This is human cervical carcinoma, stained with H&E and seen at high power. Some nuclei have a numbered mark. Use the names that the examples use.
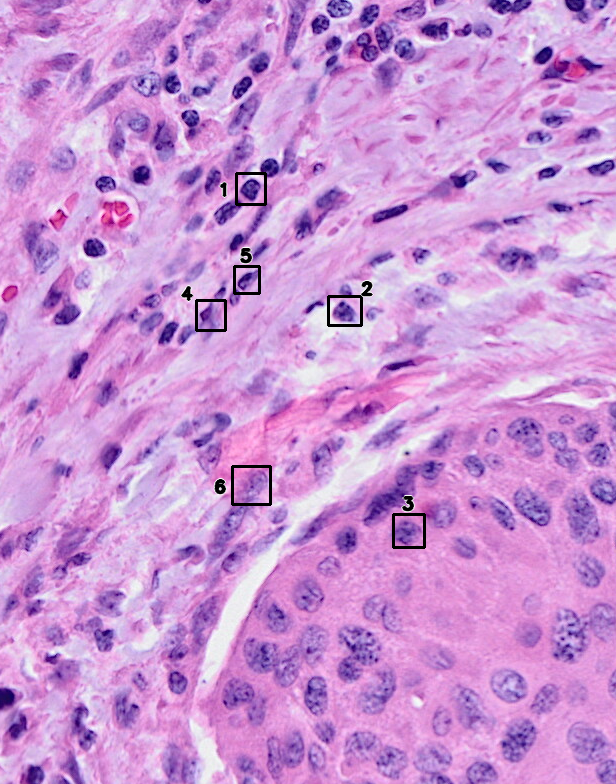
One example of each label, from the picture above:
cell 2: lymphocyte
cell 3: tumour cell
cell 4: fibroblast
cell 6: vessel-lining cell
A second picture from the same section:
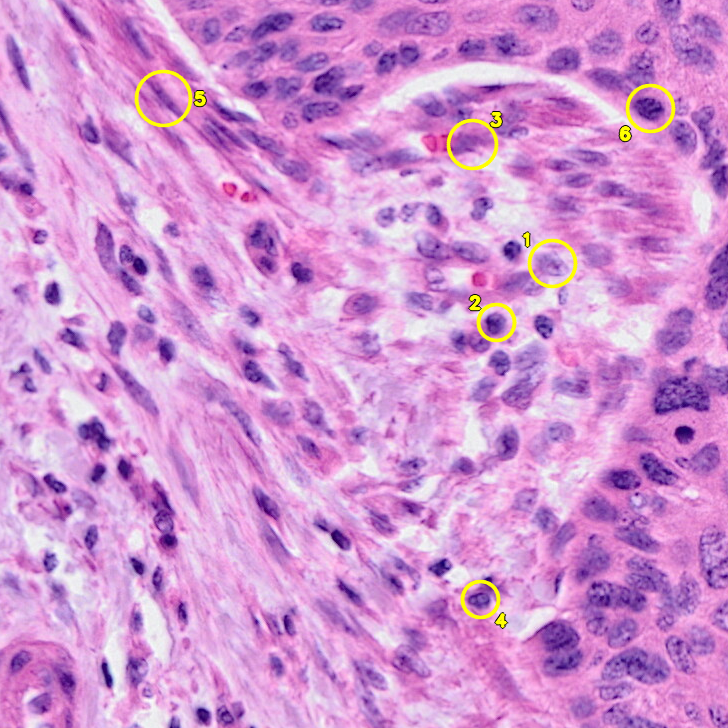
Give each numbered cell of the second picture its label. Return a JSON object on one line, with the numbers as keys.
{"1": "fibroblast", "2": "lymphocyte", "3": "vessel-lining cell", "4": "lymphocyte", "5": "fibroblast", "6": "tumour cell"}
